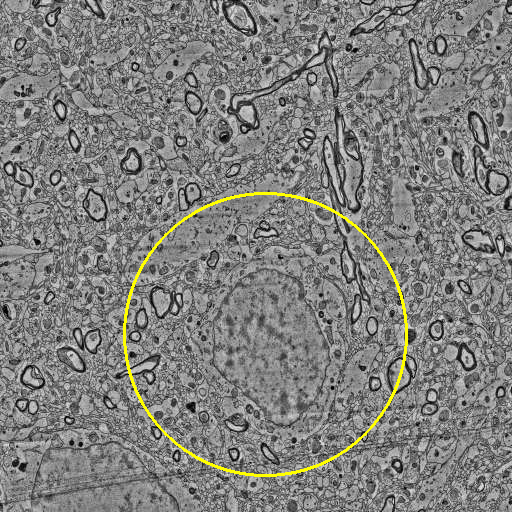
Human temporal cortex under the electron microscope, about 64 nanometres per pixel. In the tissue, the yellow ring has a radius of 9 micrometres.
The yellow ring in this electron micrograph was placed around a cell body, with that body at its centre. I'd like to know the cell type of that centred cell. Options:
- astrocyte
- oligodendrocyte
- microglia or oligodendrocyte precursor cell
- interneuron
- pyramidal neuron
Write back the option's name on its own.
interneuron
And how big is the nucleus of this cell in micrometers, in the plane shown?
In this plane, roughly 10 by 7 micrometres.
